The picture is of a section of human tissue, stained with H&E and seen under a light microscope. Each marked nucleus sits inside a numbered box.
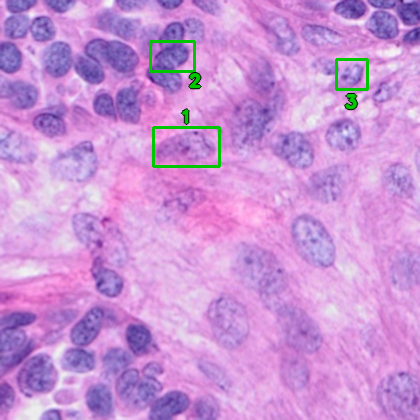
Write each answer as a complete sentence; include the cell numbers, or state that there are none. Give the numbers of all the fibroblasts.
The numbers 1 and 3 refer to cells that are fibroblasts.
